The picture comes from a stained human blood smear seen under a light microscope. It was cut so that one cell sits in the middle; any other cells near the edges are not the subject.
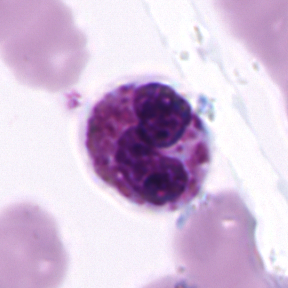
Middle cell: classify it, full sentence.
In the middle of this smear crop, the cell is an eosinophil.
